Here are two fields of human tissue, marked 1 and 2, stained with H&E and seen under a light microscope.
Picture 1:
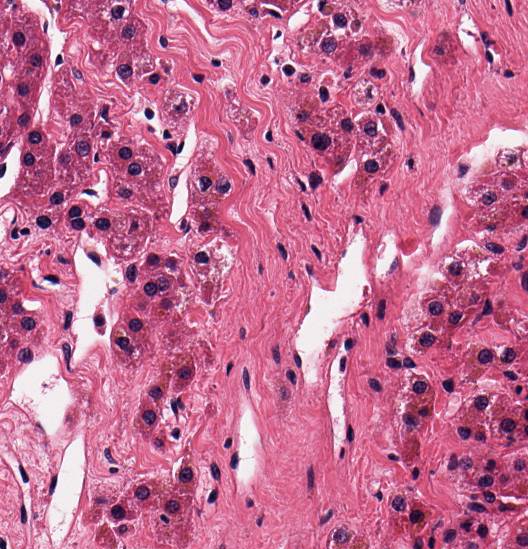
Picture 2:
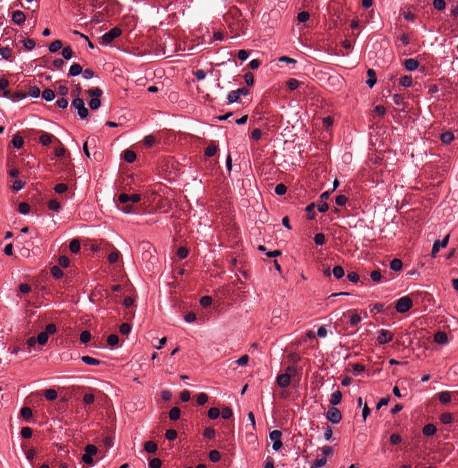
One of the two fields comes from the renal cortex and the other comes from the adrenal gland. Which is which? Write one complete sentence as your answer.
Picture 1 comes from the adrenal gland; picture 2 comes from the renal cortex.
